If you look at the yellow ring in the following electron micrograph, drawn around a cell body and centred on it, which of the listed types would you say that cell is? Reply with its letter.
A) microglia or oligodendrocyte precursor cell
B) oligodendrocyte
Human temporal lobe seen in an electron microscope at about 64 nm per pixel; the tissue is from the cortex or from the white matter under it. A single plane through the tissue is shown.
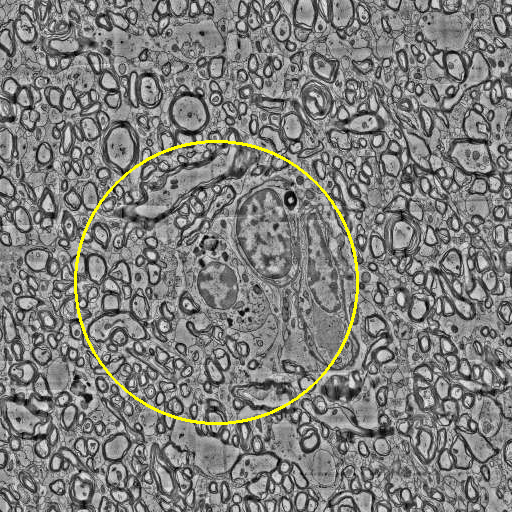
A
